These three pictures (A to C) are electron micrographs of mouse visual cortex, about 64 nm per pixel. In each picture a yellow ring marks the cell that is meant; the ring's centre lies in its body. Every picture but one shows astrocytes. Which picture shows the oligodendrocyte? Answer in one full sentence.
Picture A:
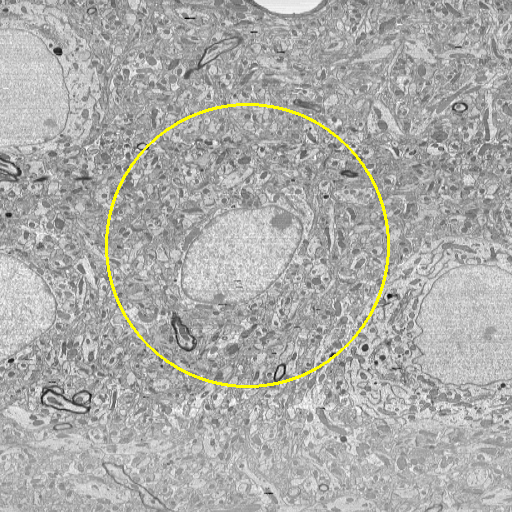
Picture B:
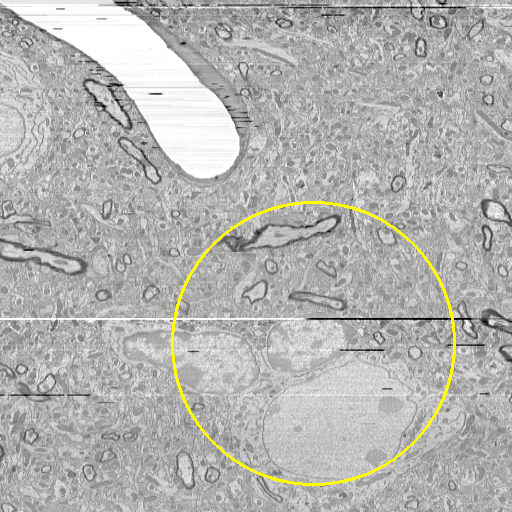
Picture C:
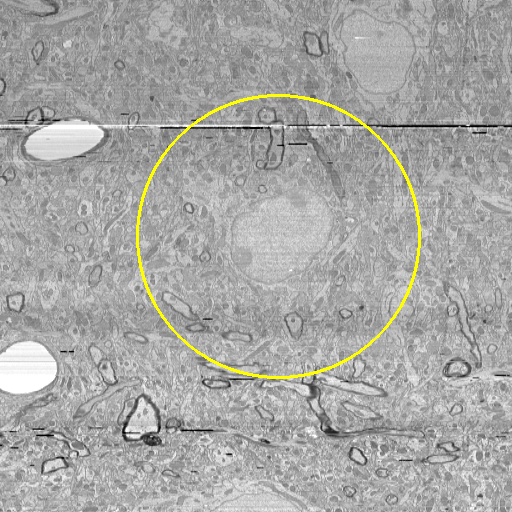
The cell in picture B is the oligodendrocyte.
